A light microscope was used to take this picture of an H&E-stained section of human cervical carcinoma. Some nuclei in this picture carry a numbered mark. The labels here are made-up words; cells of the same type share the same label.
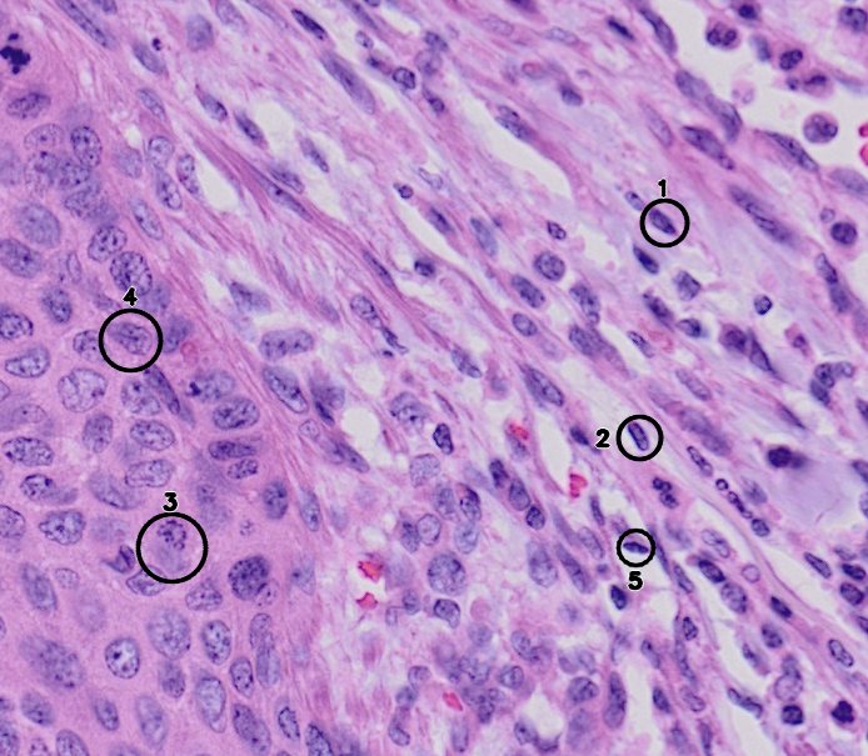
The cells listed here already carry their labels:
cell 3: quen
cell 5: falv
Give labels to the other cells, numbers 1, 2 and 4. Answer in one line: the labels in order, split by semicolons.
falv; falv; quen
